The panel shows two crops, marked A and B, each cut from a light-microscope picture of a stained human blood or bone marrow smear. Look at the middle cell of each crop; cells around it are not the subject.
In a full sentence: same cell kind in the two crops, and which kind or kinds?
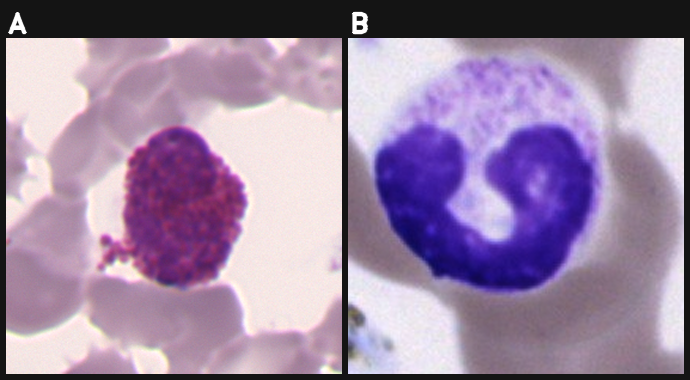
No, it is crop A that shows an eosinophil, and crop B shows a band neutrophil.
